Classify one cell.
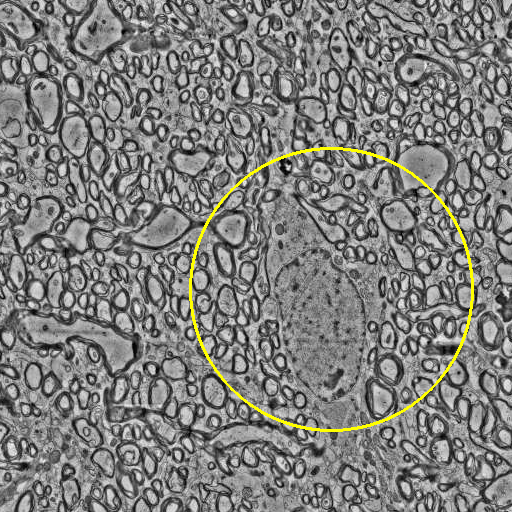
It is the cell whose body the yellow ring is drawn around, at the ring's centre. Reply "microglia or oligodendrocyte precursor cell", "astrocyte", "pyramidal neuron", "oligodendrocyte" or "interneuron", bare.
astrocyte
